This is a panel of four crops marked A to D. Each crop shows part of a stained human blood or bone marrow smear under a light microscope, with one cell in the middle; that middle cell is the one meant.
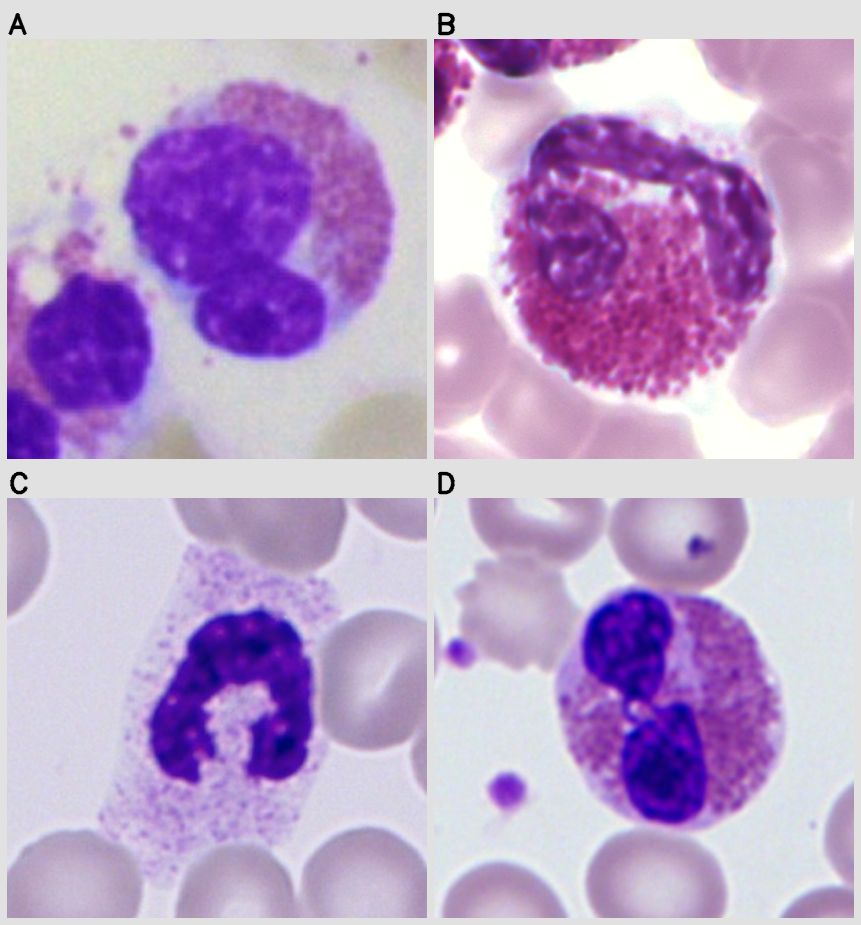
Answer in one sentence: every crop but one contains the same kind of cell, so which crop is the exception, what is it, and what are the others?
Shown in crop C is a band neutrophil, in contrast to the eosinophils of all the other crops.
